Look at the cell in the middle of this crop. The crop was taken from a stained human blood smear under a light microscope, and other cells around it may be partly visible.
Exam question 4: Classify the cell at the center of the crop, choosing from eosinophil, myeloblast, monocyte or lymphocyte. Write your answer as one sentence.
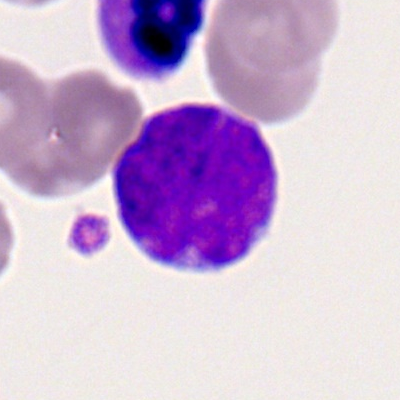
The centrally located cell in the crop is a myeloblast.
